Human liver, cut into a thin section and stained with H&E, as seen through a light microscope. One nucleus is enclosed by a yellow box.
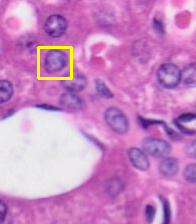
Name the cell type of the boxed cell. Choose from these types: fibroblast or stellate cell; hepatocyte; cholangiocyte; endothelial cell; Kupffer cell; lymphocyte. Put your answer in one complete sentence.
The boxed cell appears to be a cholangiocyte.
